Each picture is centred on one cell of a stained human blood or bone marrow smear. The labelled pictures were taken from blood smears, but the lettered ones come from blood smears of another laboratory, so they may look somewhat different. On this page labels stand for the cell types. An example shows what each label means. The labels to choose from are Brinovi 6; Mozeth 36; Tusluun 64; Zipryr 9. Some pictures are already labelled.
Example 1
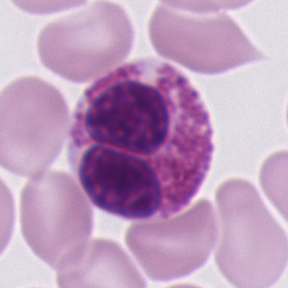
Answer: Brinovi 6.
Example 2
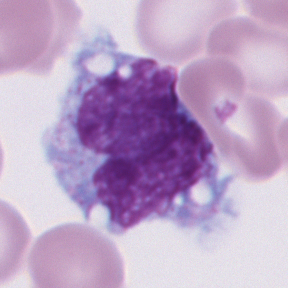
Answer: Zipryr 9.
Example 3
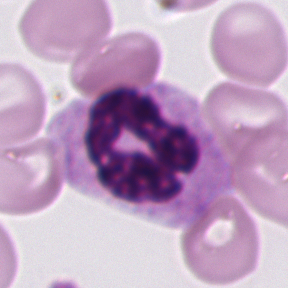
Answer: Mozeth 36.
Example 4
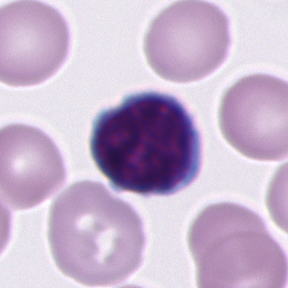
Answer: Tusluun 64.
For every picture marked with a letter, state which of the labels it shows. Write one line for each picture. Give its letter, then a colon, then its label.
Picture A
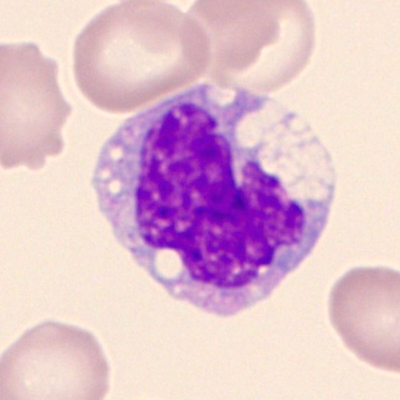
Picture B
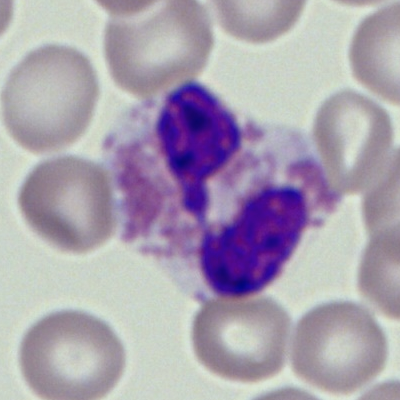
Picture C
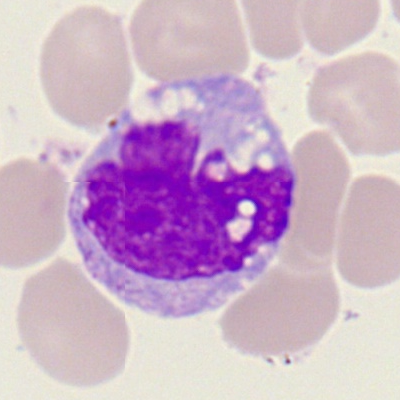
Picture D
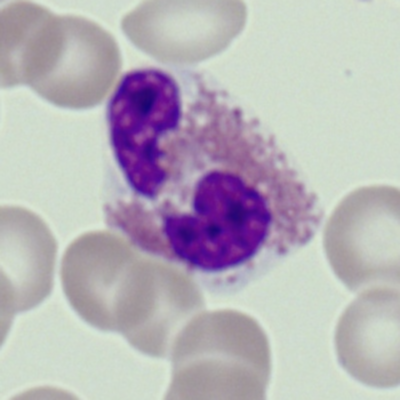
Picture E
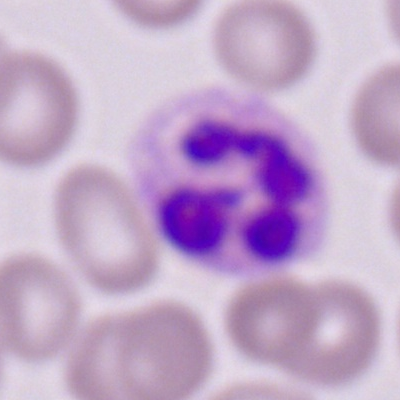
A: Zipryr 9.
B: Brinovi 6.
C: Zipryr 9.
D: Brinovi 6.
E: Mozeth 36.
